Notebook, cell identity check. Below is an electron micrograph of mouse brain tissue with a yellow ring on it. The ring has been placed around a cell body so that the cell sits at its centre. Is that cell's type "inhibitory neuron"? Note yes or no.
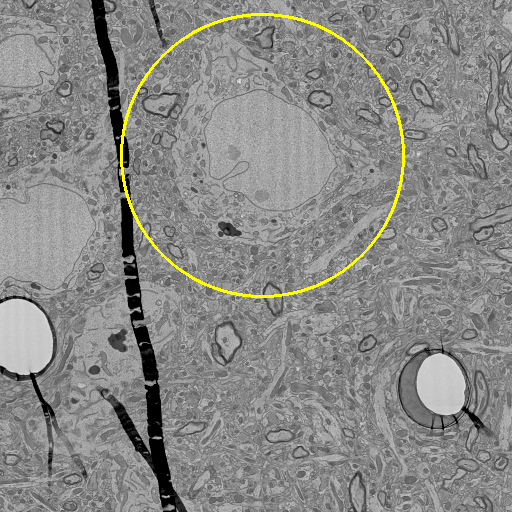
No, its cell type is another one.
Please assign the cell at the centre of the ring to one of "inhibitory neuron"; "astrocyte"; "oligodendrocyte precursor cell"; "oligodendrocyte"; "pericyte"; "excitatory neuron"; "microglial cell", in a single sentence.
The cell at the ring centre is an excitatory neuron.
